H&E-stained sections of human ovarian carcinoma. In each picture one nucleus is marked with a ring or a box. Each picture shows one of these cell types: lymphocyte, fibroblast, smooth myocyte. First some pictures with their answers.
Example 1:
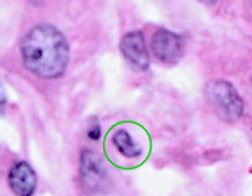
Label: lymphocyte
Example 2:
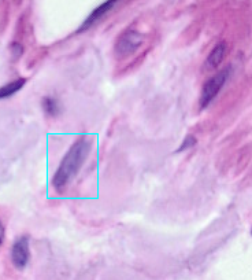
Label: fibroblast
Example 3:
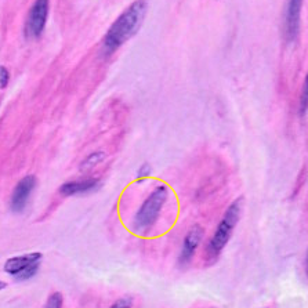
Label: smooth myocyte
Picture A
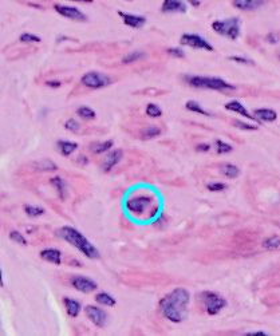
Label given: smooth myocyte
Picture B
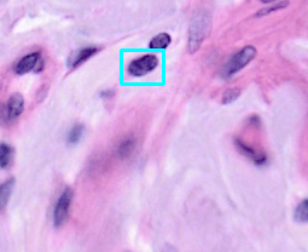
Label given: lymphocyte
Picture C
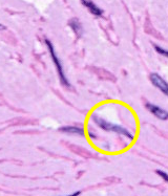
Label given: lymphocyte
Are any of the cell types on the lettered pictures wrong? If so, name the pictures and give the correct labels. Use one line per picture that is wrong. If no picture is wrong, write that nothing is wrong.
C: not lymphocyte but fibroblast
